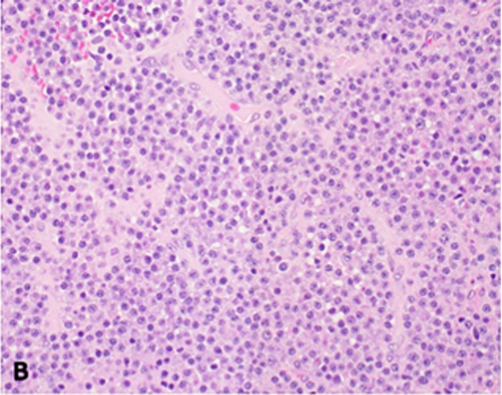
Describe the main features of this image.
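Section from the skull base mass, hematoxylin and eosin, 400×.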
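Sheets of plasma cells fill this field, packed closely with little stroma between them. The cells are round to oval and fairly uniform in size. Each has a round, dark purple nucleus that often sits off-centre, with a rim of pale pink cytoplasm around it. The cells lie in solid sheets broken only by thin, pale pink strands of connective tissue and a few small vessels carrying red blood cells near the upper left. No normal tissue structure is seen; the field consists of one monotonous population of cells.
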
